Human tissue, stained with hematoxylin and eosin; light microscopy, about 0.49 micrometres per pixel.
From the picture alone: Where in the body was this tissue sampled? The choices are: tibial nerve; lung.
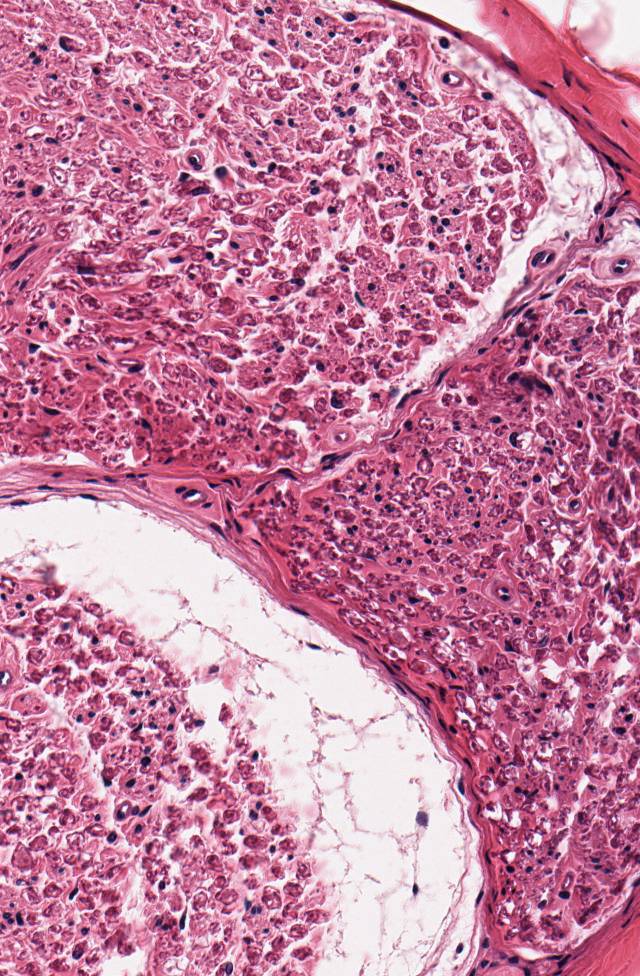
tibial nerve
